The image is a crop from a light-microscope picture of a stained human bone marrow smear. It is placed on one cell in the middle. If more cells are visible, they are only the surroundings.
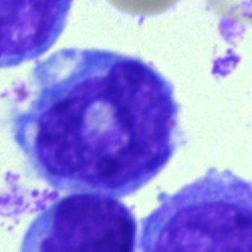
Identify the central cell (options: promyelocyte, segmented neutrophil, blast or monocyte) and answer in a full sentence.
Of the cells in this crop, the central one is a monocyte.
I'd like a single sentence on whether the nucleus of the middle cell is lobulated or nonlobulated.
If you check the nucleus, you will find one compact mass, round, oval or kidney-shaped.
